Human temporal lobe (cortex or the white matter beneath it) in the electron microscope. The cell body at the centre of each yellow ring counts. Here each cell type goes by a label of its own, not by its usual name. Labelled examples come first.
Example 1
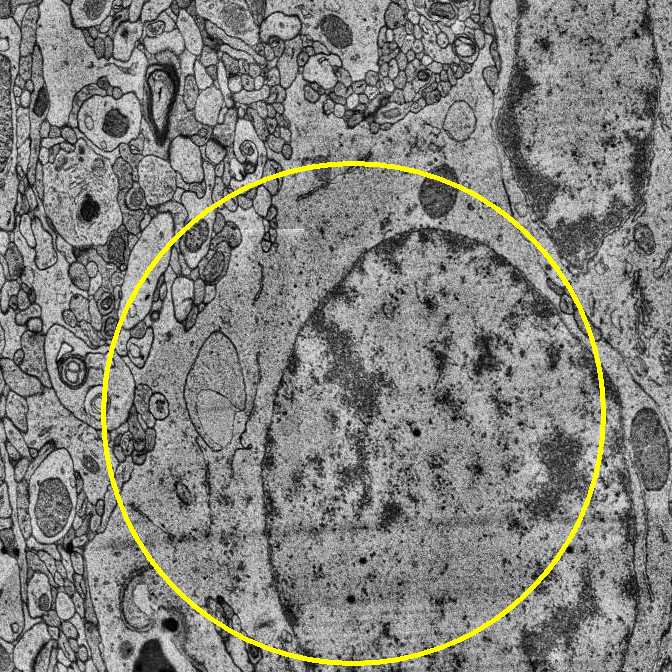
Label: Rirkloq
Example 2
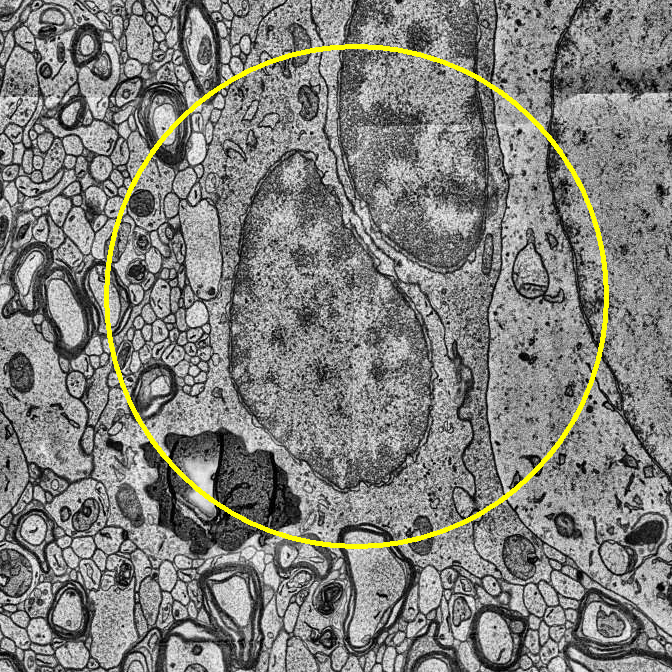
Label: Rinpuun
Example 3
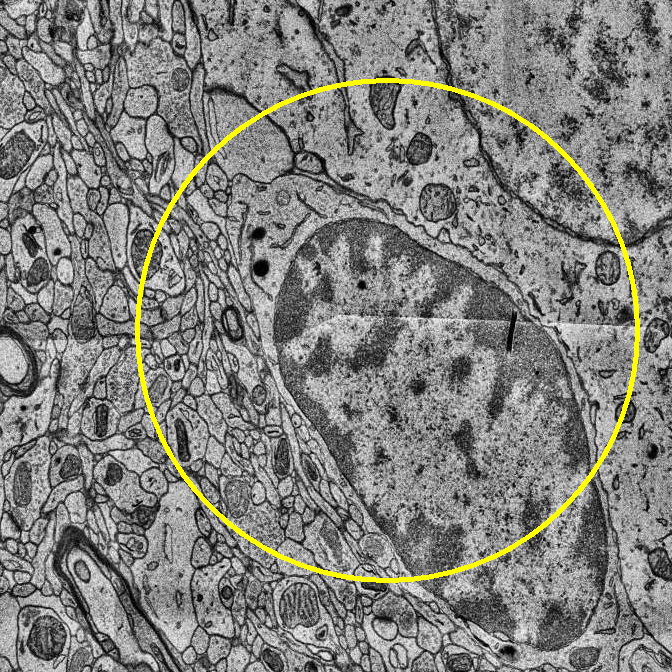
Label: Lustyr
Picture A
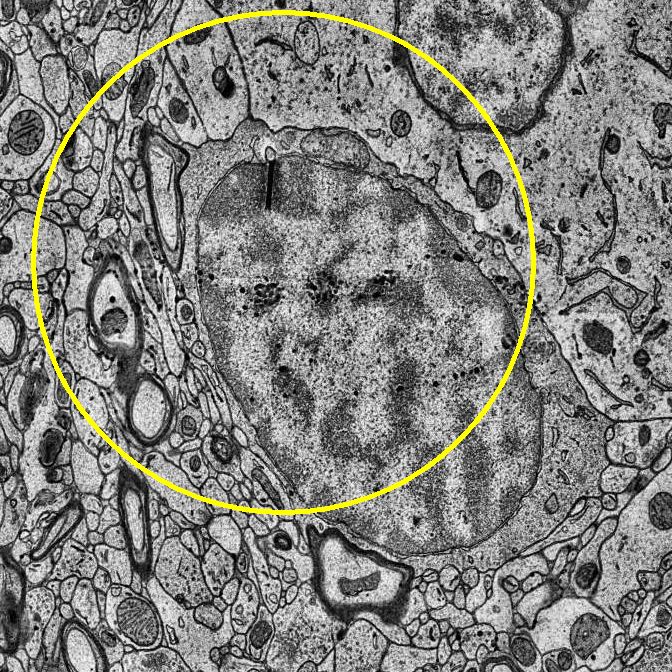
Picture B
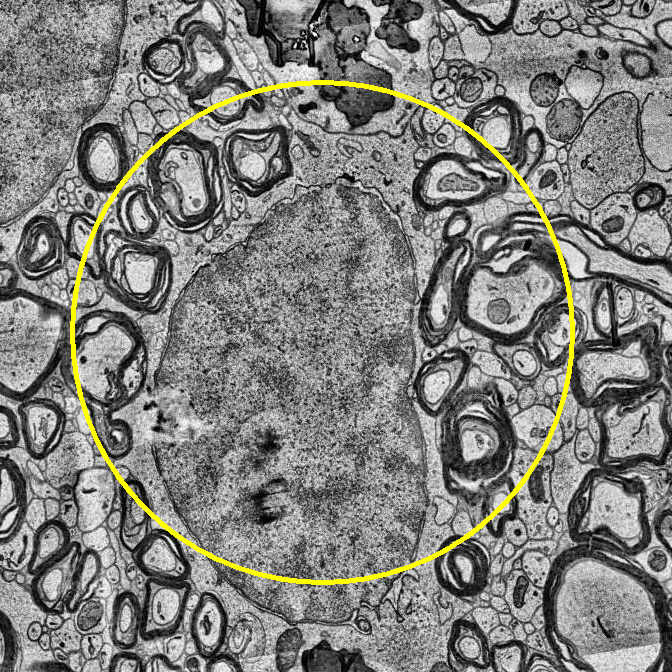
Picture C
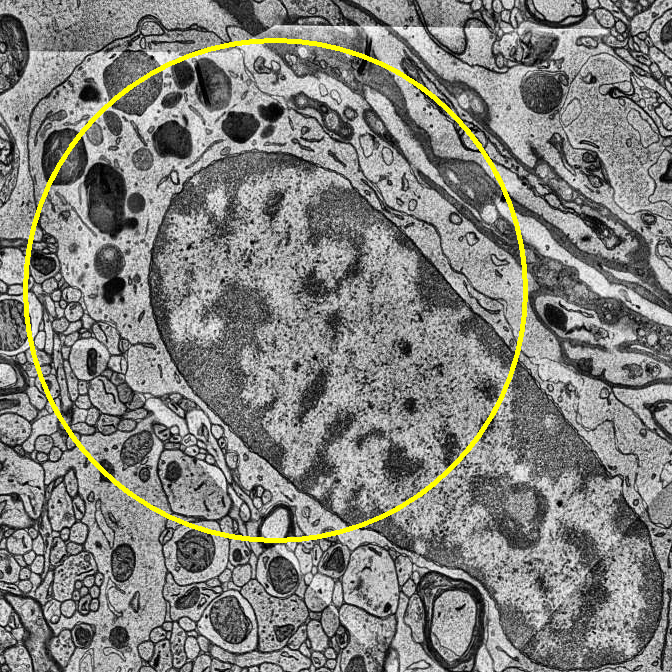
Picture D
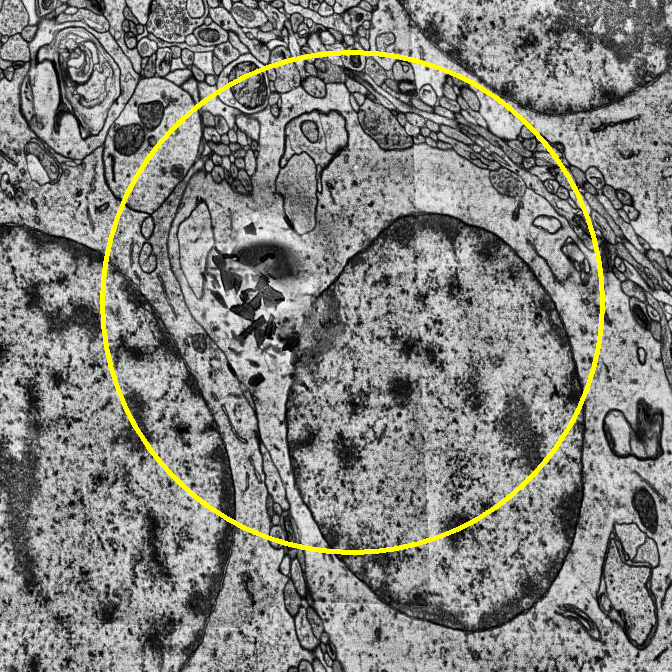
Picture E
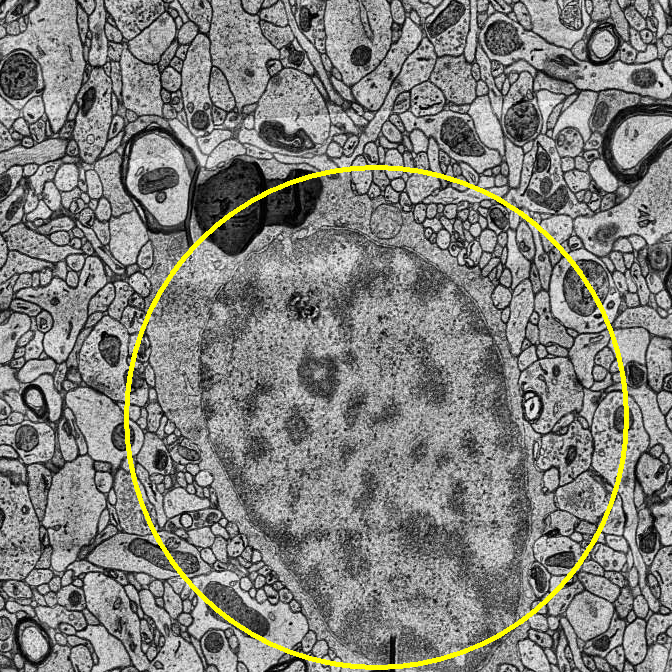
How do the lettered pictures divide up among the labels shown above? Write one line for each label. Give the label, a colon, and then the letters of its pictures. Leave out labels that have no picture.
Rirkloq: D
Rinpuun: A, B, E
Lustyr: C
